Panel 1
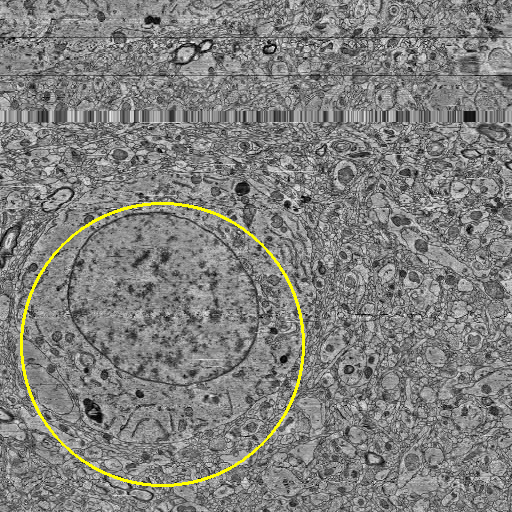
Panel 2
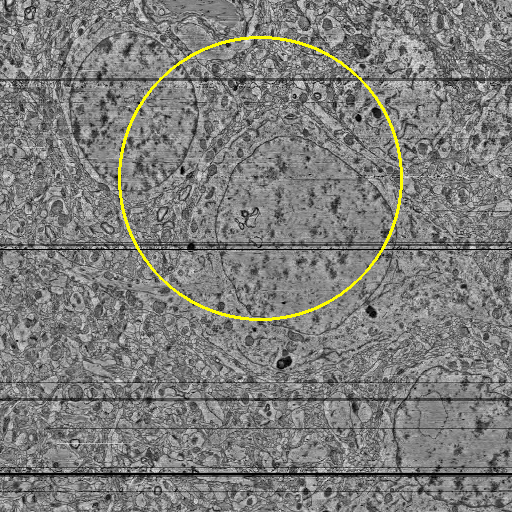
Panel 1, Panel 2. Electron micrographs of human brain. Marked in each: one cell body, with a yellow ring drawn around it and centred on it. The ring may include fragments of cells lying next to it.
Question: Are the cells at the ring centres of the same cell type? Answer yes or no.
yes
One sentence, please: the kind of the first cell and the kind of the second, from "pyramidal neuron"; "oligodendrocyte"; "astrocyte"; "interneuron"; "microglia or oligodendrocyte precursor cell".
Each of the two cells is a pyramidal neuron.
